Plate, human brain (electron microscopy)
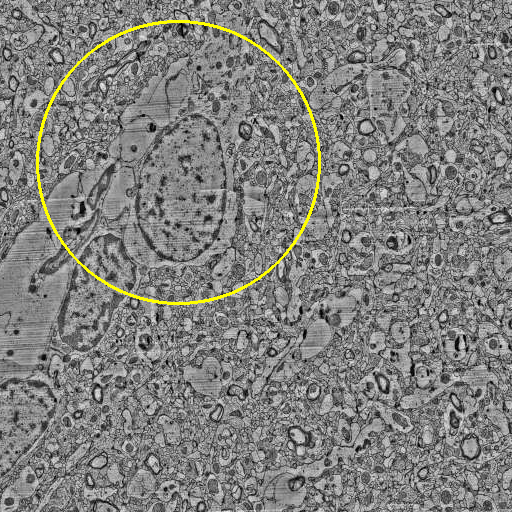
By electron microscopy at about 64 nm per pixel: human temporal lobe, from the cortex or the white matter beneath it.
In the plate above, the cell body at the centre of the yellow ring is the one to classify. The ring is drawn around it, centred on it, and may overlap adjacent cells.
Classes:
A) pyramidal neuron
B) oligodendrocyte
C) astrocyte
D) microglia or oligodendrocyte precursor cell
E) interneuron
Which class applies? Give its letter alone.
D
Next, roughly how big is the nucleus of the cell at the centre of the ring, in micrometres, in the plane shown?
The nucleus is approximately 9 micrometres long but only about 6 wide, clearly longer than it is wide in this plane.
